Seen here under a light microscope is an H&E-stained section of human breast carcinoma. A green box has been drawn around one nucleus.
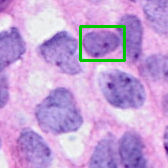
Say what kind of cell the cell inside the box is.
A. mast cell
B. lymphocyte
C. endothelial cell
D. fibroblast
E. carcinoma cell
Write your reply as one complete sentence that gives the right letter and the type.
Option E names the cell inside the box correctly as a carcinoma cell.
